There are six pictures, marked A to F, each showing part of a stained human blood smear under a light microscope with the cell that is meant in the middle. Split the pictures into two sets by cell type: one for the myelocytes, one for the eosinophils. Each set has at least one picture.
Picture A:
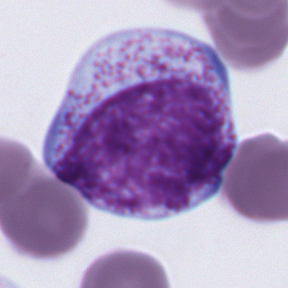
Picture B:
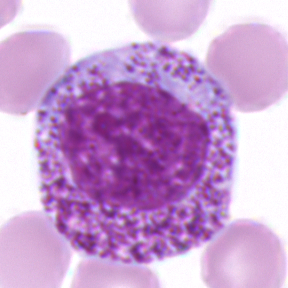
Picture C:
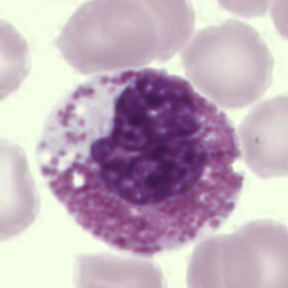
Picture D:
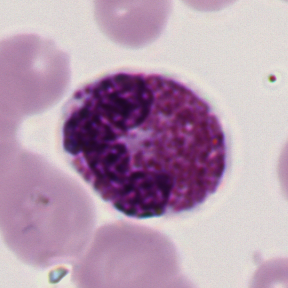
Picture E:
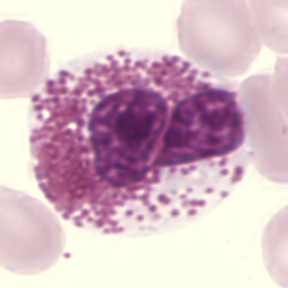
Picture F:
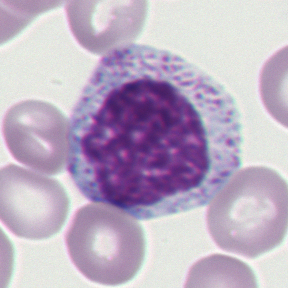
A: myelocyte
B: myelocyte
C: eosinophil
D: eosinophil
E: eosinophil
F: myelocyte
